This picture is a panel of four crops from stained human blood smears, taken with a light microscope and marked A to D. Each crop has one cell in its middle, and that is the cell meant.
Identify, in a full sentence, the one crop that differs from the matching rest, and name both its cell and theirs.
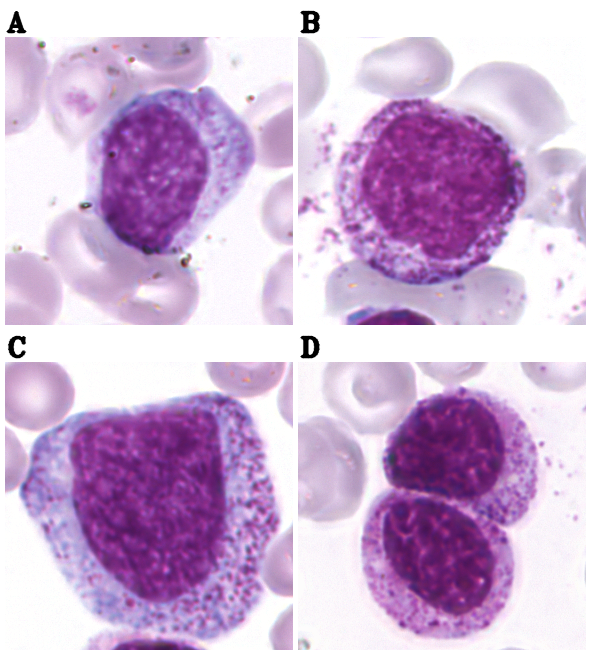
Crop C contains a promyelocyte, setting it apart from the other crops, which all contain myelocytes.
